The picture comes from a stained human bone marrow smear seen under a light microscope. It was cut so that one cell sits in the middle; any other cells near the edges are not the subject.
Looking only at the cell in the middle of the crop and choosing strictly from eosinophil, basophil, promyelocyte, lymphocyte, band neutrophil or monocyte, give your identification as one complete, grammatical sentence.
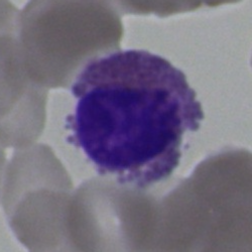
The cell featured at the centre of this crop is an eosinophil.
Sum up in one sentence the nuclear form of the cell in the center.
Key feature: a single compact nucleus, round, oval or kidney-shaped.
